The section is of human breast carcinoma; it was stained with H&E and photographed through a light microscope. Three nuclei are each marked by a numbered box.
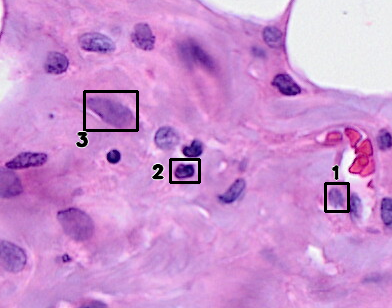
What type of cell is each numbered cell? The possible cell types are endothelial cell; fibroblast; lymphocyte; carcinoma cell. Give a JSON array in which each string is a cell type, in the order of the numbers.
["endothelial cell", "lymphocyte", "fibroblast"]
